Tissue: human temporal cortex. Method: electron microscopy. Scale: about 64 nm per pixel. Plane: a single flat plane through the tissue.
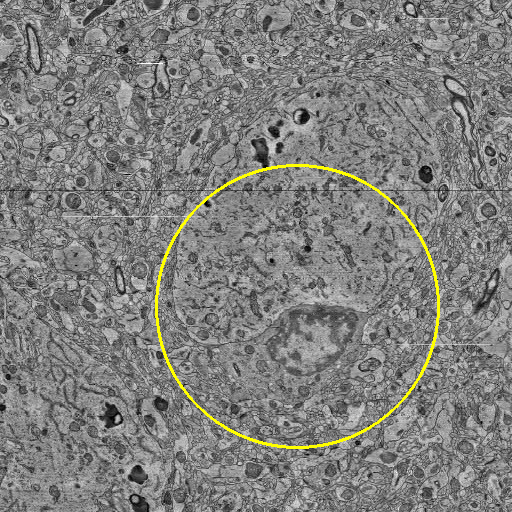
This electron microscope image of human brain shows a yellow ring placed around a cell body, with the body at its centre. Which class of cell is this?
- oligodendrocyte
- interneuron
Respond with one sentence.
The cell body at the ring's centre is an oligodendrocyte.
